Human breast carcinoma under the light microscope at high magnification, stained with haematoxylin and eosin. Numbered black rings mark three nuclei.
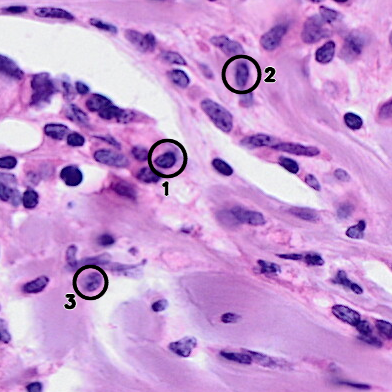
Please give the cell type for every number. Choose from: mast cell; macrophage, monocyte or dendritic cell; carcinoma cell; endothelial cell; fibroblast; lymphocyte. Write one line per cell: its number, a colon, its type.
1: lymphocyte
2: lymphocyte
3: mast cell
